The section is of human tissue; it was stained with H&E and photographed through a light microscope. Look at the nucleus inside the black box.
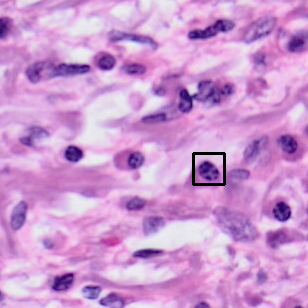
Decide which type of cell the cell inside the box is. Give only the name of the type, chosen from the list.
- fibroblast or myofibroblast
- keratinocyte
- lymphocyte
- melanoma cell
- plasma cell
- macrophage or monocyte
plasma cell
